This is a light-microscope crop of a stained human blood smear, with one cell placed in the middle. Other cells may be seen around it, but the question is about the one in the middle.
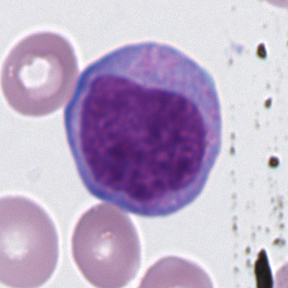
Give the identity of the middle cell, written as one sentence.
Regarding the central cell, it is an atypical promyelocyte.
